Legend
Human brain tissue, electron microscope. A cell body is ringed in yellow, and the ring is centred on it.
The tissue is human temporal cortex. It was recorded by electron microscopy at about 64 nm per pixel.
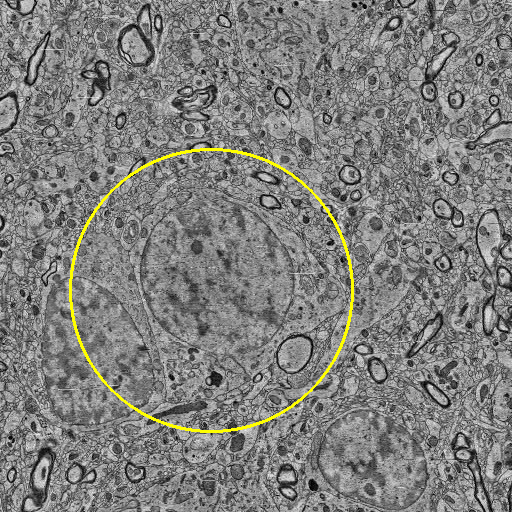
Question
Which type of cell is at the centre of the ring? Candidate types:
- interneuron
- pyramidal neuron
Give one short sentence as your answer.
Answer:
The yellow ring is centred here on an interneuron.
